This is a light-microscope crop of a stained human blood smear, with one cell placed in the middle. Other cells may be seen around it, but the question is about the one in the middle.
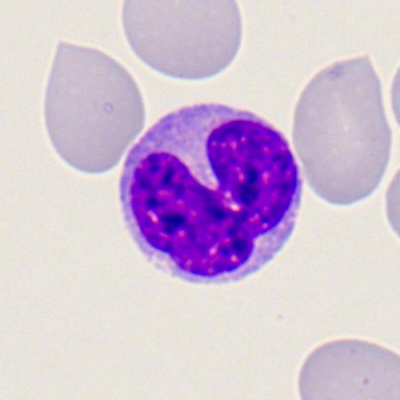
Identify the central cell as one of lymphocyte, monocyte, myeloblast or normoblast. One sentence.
Located at the centre of the crop is a monocyte.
